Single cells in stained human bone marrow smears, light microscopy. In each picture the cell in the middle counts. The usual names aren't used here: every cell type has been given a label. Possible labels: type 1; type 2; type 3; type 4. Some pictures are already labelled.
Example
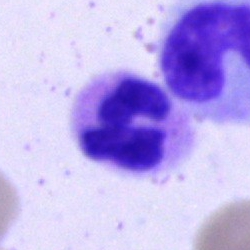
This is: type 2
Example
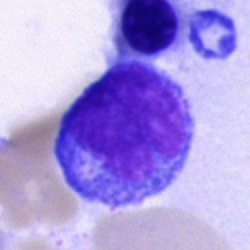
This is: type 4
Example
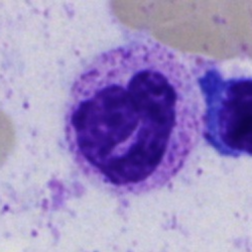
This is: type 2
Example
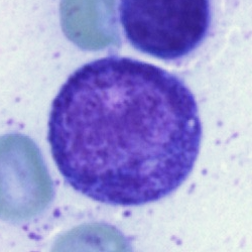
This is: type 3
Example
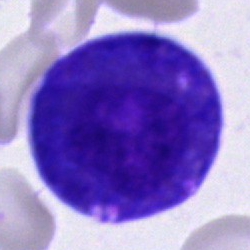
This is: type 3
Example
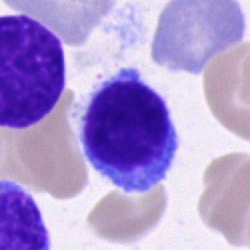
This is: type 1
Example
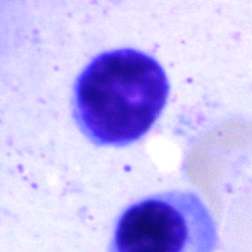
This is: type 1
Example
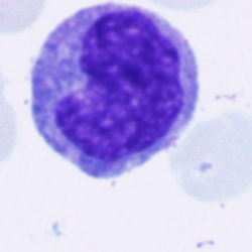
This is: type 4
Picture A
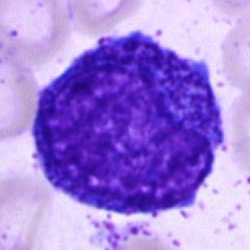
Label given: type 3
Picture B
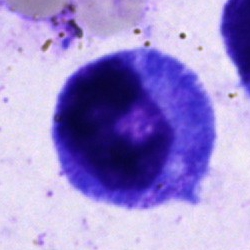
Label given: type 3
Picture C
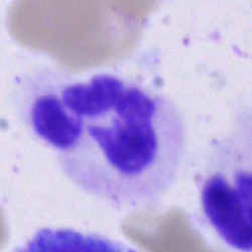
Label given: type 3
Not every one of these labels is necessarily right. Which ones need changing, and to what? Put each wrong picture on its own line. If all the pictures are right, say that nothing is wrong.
C should be type 2, not type 3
